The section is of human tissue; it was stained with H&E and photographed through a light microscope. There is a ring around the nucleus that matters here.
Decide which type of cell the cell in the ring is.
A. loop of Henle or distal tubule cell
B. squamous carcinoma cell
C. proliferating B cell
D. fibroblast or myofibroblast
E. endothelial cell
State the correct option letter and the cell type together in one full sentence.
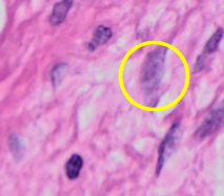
Option D describes the cell in the ring accurately as a fibroblast or myofibroblast.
